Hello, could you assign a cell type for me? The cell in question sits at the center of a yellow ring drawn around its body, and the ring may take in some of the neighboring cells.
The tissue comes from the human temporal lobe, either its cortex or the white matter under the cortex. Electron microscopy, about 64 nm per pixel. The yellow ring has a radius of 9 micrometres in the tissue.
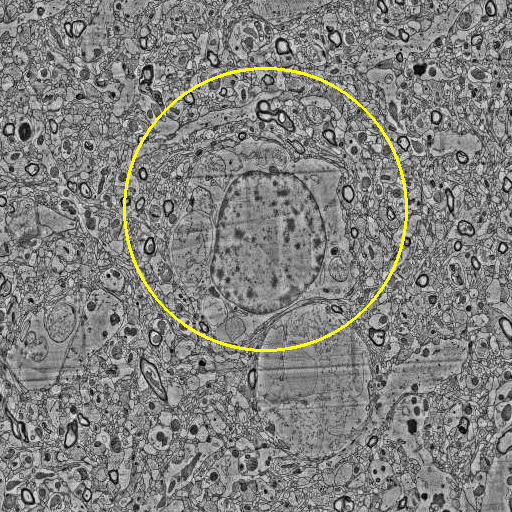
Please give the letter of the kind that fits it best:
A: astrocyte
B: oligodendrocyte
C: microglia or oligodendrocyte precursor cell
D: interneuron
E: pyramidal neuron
A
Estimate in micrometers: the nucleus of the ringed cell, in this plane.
Approximately 9 by 7 micrometers in this plane.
